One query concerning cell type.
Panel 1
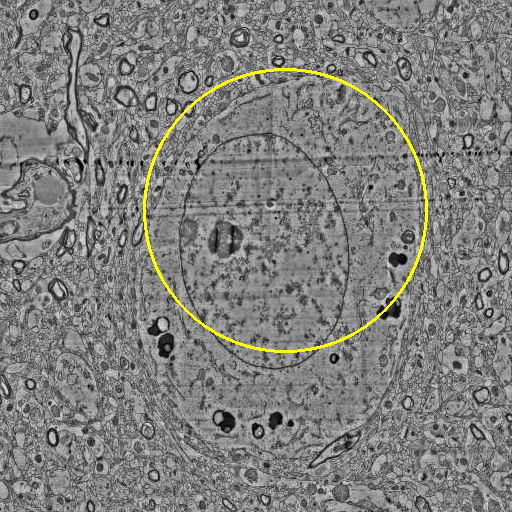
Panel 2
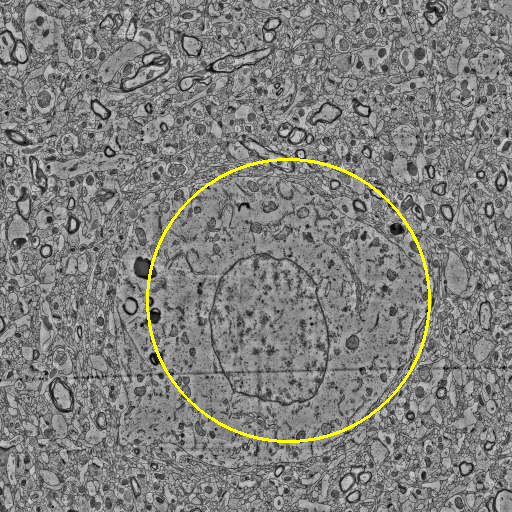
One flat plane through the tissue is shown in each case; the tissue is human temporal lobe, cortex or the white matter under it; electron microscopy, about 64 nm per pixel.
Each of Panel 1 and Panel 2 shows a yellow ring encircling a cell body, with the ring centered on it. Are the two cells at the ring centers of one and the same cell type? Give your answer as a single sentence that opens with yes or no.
Yes, the cell centered in Panel 1 and the one in Panel 2 share a type.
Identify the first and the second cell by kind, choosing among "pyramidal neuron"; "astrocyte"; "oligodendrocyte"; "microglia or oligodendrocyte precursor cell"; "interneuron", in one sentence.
In the first picture and in the second, the ring is centred on a pyramidal neuron.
